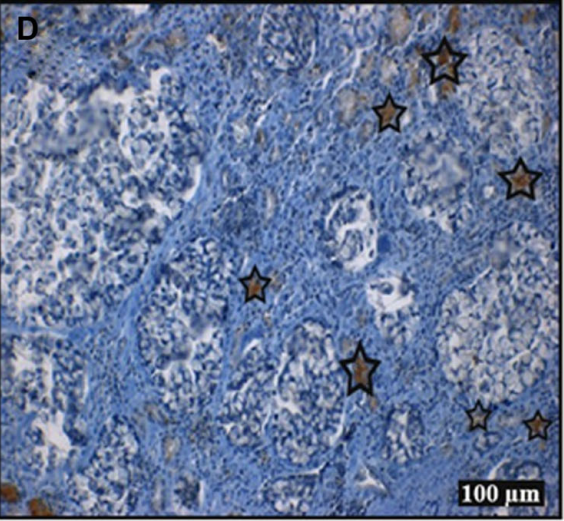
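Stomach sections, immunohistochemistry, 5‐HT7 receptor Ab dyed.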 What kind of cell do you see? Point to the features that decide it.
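Dense sheets of small cells with dark blue round nuclei fill the spaces between paler rounded gland-like lobules. The answer: inflammatory cells.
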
